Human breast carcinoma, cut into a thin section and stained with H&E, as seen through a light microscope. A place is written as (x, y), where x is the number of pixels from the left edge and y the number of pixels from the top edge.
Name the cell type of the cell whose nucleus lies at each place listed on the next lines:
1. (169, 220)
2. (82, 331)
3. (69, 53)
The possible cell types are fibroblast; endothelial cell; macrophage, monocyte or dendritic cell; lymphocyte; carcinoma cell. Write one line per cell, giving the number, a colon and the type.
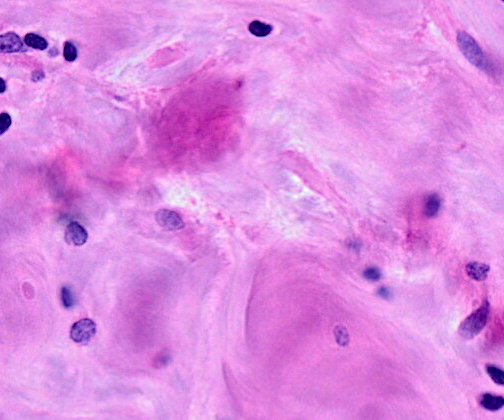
1: fibroblast
2: macrophage, monocyte or dendritic cell
3: lymphocyte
